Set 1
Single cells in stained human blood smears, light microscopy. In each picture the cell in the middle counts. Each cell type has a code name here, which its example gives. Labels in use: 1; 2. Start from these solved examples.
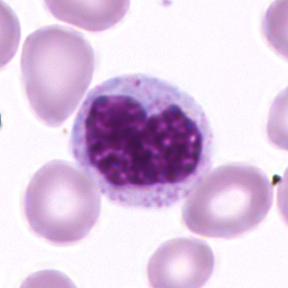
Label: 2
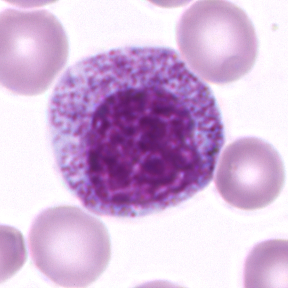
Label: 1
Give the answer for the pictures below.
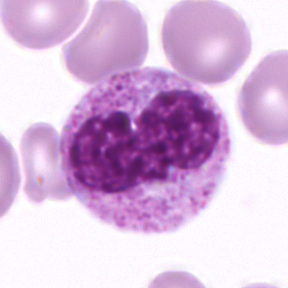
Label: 2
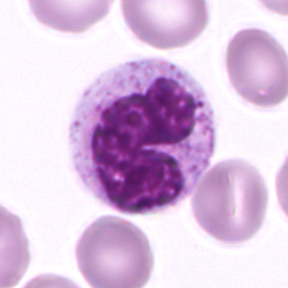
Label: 2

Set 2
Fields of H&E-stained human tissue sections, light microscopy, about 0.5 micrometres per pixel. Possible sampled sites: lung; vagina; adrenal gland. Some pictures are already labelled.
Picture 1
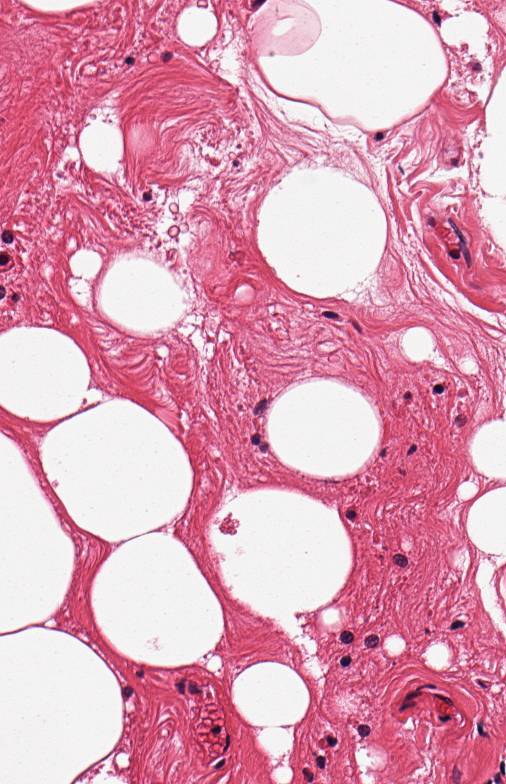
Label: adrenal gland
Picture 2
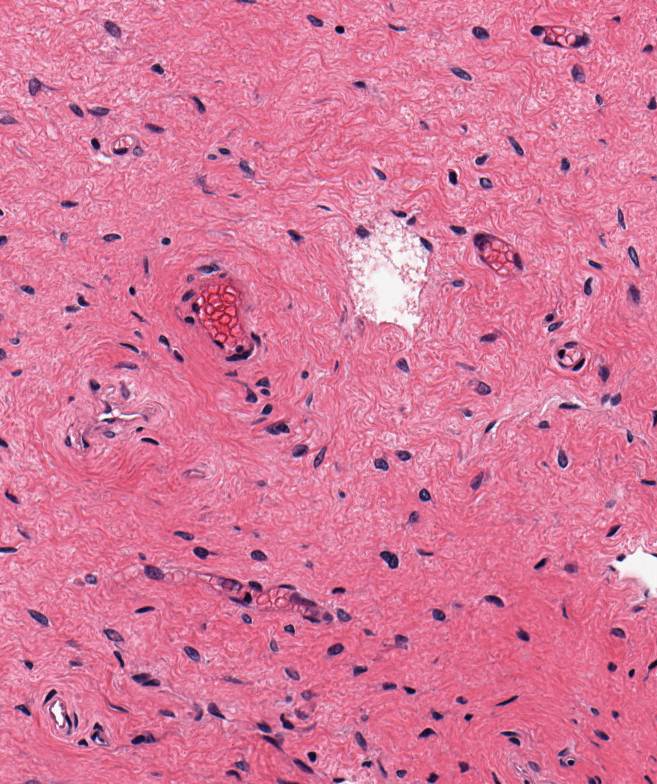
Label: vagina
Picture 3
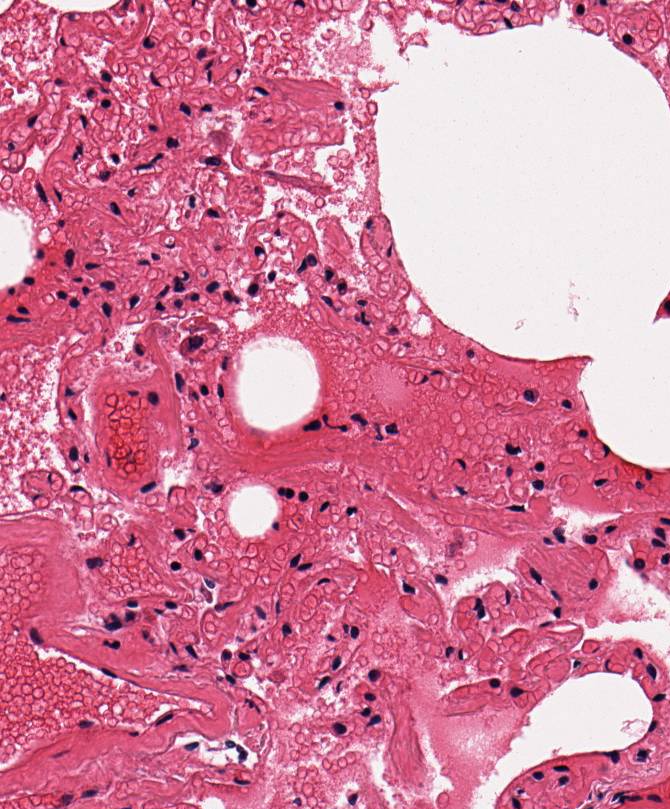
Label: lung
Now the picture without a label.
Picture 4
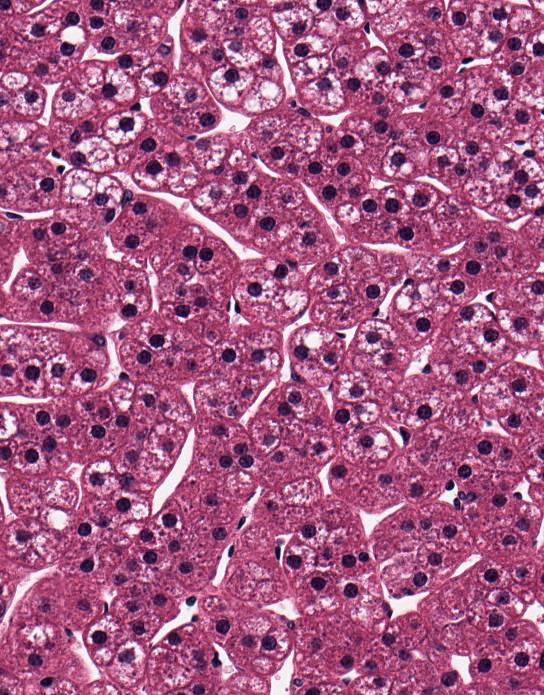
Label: adrenal gland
